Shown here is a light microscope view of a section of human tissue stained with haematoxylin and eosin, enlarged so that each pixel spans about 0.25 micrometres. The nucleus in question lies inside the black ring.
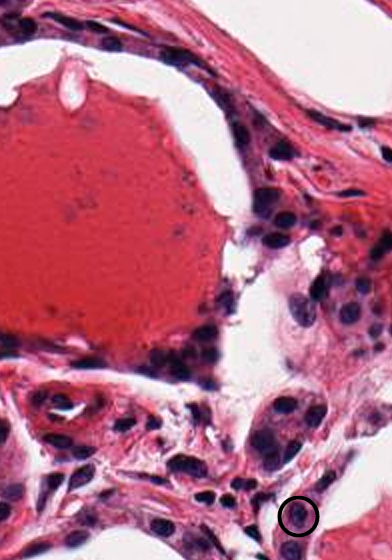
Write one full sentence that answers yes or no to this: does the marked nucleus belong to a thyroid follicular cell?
Yes, the marked nucleus is located in a thyroid follicular cell.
